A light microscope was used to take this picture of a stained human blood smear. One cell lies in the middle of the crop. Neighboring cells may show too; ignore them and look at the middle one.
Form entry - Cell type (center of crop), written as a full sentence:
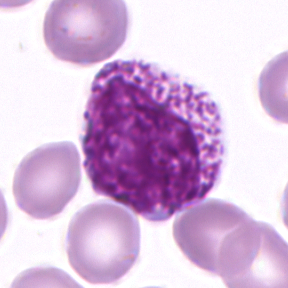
The central element of this crop is a cell, namely a metamyelocyte.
